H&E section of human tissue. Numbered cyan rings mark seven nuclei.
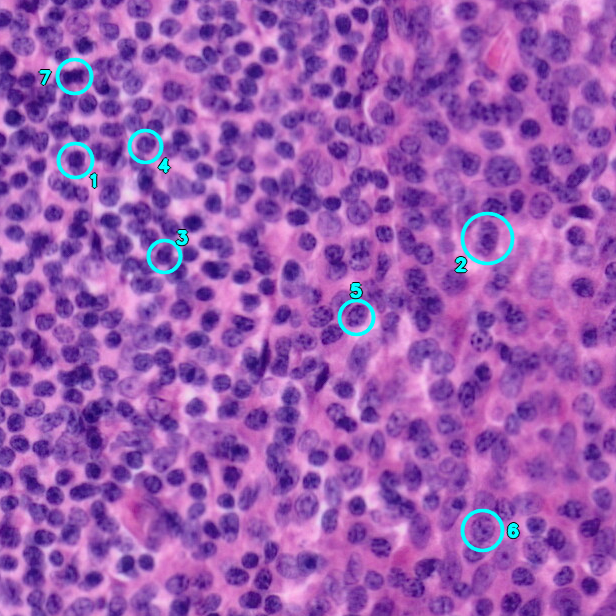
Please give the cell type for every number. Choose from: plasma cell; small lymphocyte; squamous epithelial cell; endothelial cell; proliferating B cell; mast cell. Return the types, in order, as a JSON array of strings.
["small lymphocyte", "squamous epithelial cell", "small lymphocyte", "small lymphocyte", "plasma cell", "plasma cell", "small lymphocyte"]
